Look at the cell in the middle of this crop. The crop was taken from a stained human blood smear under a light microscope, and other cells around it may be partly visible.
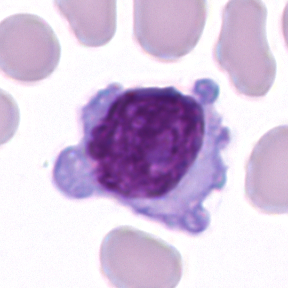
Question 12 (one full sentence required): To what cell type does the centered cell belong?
Positioned in the middle of the crop is a plasma cell.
